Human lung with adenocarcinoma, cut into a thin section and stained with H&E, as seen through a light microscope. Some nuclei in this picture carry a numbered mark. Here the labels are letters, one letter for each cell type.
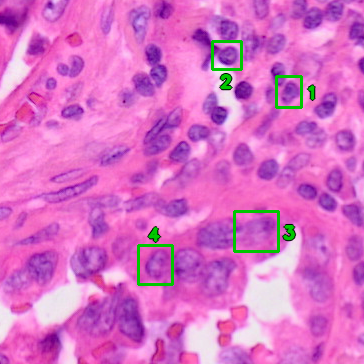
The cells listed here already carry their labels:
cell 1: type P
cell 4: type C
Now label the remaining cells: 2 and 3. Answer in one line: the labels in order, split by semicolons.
type P; type C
